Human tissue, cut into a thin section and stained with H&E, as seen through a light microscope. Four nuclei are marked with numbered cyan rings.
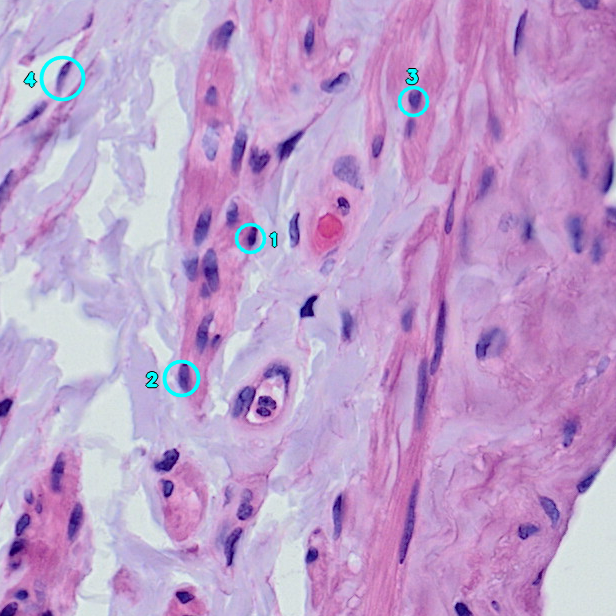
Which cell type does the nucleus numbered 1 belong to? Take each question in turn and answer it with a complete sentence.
In the tissue shown, cell 1 is a smooth muscle cell.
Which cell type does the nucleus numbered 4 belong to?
Heads up, the cell numbered 4 is an endothelial cell.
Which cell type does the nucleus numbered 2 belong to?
In this section, the cell tagged 2 is a smooth muscle cell.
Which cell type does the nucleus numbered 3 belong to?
The cell marked with number 3 is a smooth muscle cell.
